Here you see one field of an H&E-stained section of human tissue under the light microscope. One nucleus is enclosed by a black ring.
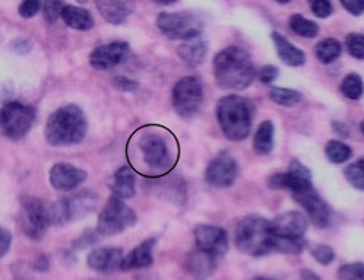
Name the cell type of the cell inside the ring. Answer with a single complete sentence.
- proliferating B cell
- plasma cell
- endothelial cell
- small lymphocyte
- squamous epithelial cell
So far as cell type goes, the cell inside the ring is a proliferating B cell.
